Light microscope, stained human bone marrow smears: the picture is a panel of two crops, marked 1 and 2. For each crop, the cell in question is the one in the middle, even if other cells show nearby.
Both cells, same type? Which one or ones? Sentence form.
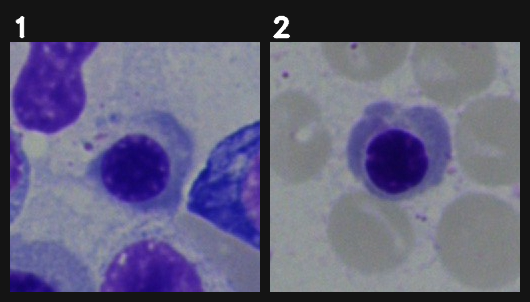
Yes, the first and the second crop both show erythroblasts.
